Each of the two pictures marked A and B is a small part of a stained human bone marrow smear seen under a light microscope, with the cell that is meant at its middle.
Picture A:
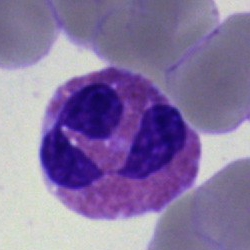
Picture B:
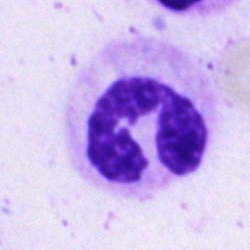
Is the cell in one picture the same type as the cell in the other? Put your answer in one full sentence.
No, picture A shows an eosinophil and picture B shows a segmented neutrophil.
